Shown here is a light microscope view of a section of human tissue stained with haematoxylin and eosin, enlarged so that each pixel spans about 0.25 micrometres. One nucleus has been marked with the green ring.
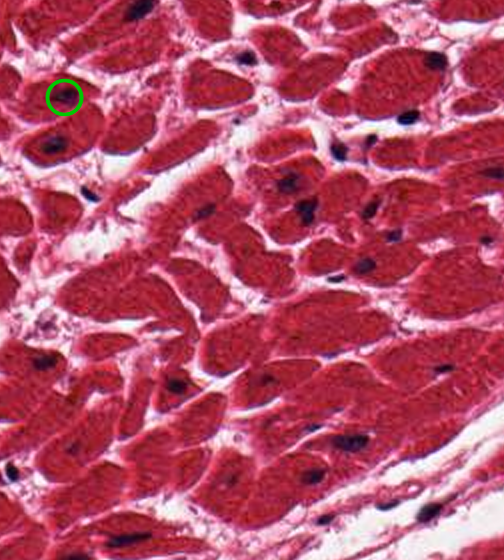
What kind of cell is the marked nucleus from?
cardiomyocyte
